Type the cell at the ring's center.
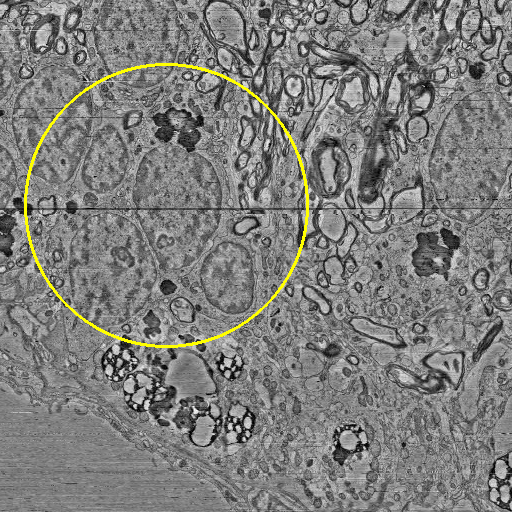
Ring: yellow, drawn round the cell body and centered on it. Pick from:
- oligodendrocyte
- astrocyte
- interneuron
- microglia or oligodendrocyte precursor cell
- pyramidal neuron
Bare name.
oligodendrocyte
